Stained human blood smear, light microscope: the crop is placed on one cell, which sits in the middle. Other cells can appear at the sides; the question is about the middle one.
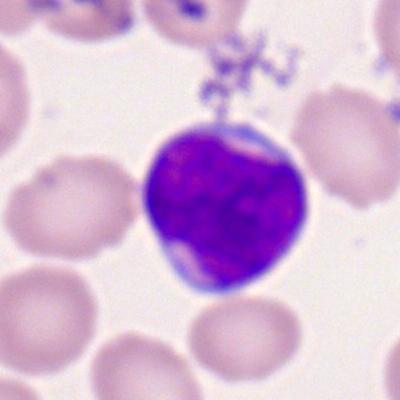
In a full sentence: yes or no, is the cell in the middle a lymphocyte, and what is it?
No, the middle cell is not a lymphocyte, it being a myeloblast.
